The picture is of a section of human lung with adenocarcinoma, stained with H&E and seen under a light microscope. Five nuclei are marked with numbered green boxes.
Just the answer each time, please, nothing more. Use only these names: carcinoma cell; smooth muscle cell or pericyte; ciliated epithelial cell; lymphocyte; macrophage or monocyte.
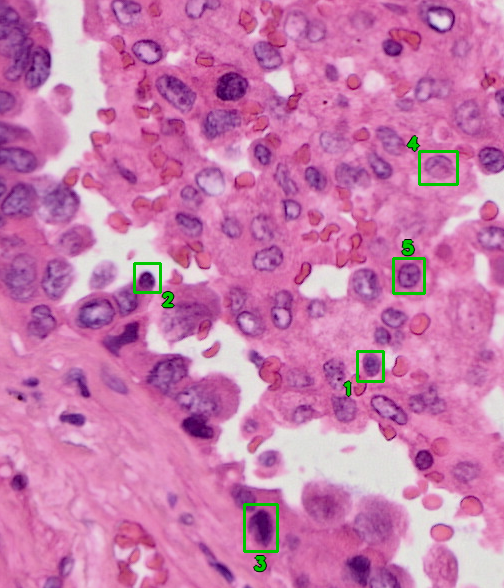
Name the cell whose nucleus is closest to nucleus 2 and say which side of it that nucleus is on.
a carcinoma cell; below and to the left of nucleus 2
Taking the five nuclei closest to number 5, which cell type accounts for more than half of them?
macrophage or monocyte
